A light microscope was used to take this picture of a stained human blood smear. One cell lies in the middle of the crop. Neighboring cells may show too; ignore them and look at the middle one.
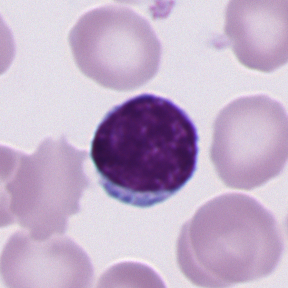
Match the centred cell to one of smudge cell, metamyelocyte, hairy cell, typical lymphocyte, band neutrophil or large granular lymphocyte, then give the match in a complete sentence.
The cell in the exact centre of the crop is a typical lymphocyte.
